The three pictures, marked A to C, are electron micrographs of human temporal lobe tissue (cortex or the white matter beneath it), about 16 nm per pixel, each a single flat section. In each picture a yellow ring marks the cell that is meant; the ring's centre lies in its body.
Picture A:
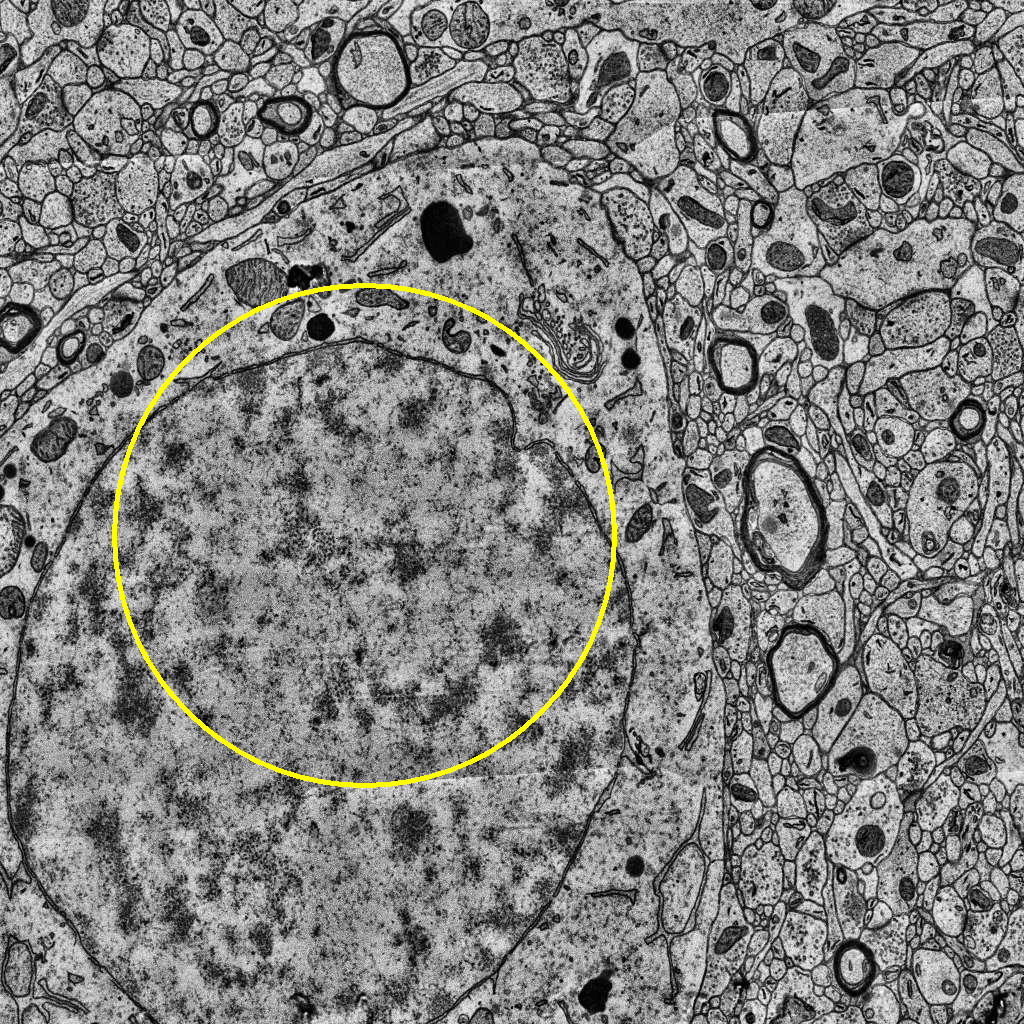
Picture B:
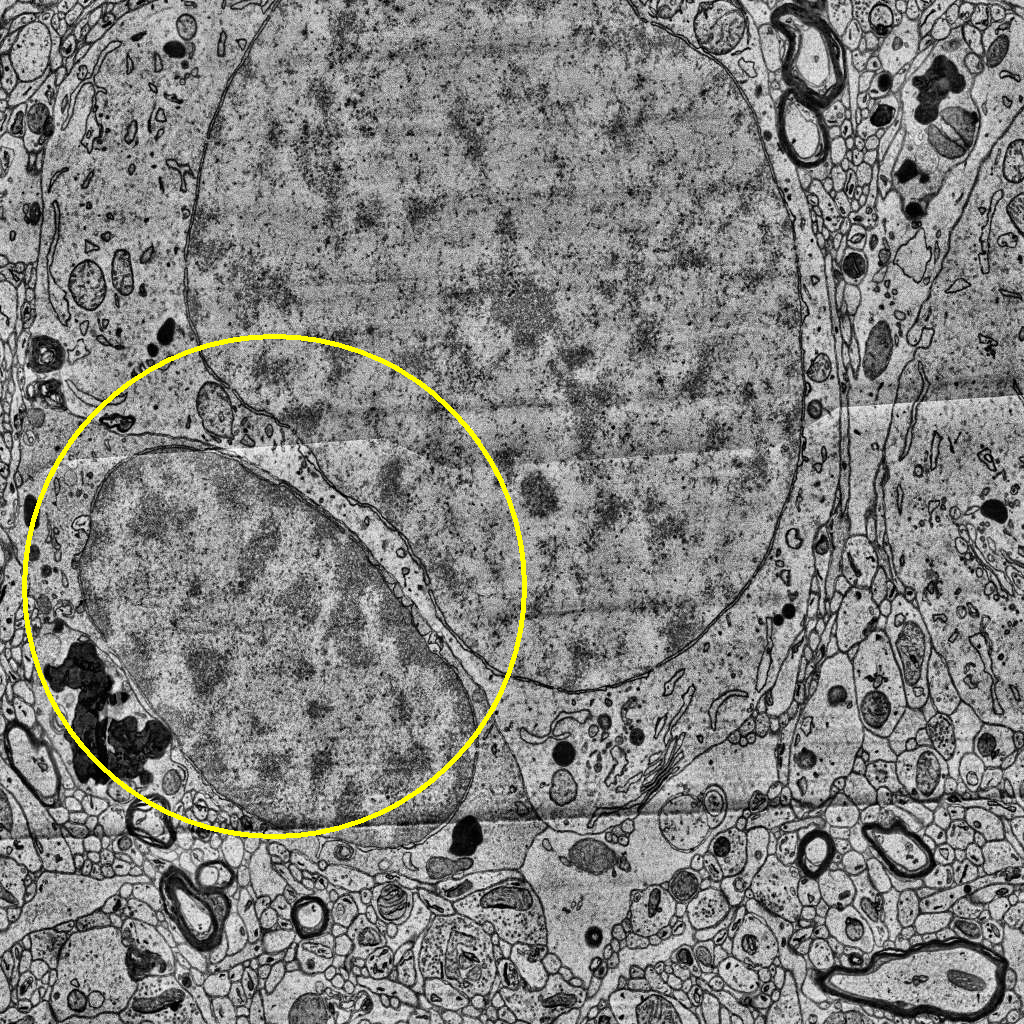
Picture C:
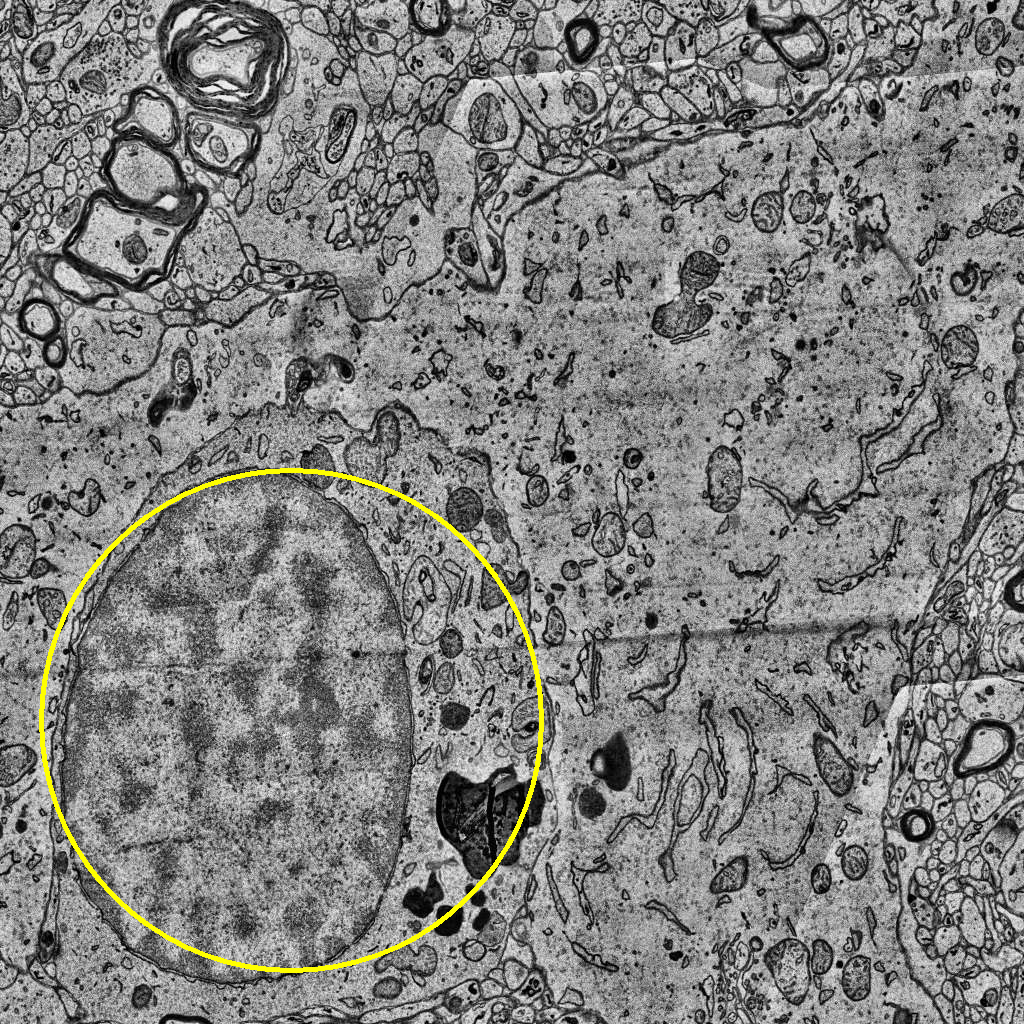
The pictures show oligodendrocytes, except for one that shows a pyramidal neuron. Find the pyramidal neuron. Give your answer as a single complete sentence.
The cell in picture A is the pyramidal neuron.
